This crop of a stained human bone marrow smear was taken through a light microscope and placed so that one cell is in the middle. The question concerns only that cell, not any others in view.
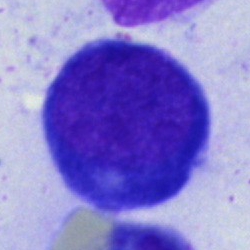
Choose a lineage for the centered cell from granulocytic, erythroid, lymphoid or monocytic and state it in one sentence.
The cell in the middle belongs to the erythroid lineage.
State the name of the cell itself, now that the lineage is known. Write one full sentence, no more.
By type, the central cell of the crop is a proerythroblast.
